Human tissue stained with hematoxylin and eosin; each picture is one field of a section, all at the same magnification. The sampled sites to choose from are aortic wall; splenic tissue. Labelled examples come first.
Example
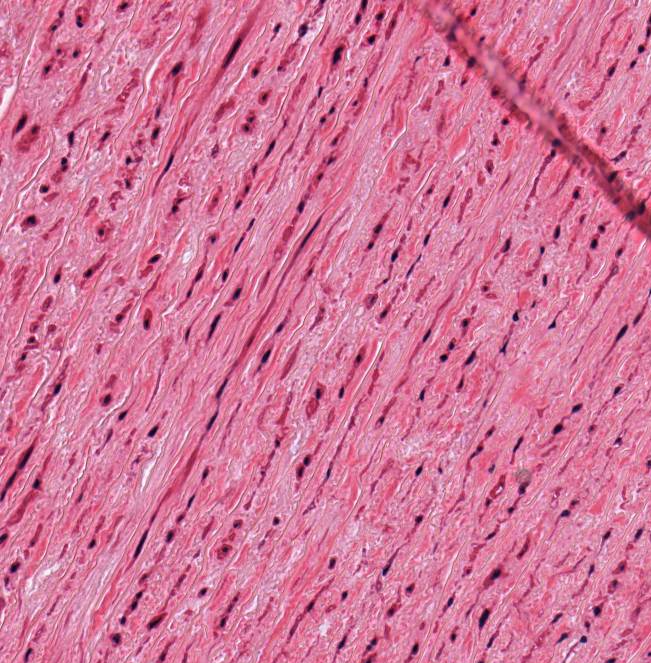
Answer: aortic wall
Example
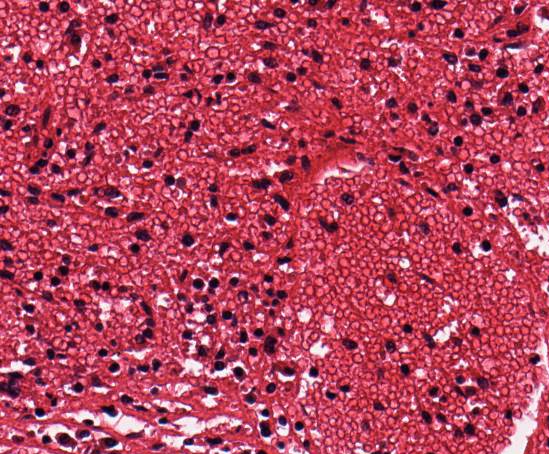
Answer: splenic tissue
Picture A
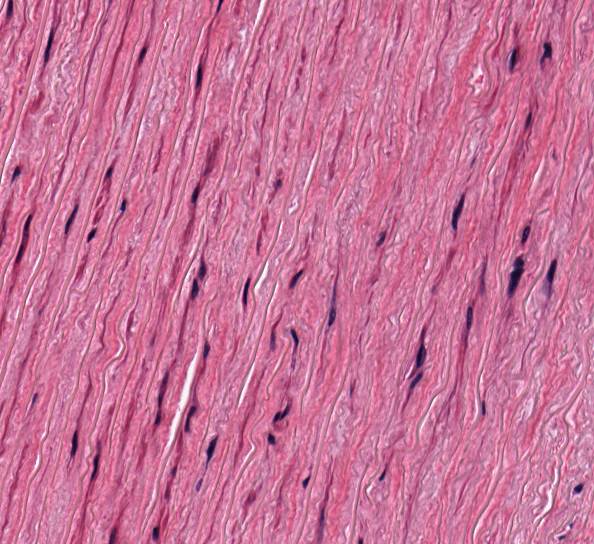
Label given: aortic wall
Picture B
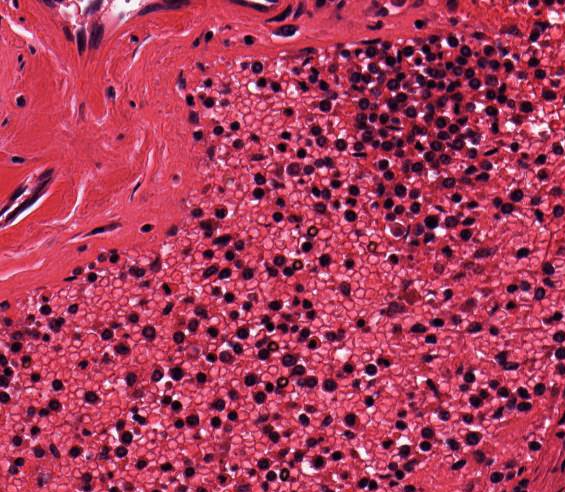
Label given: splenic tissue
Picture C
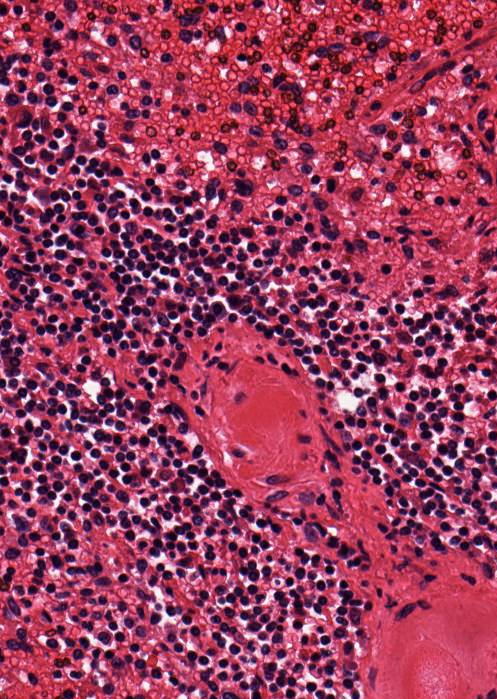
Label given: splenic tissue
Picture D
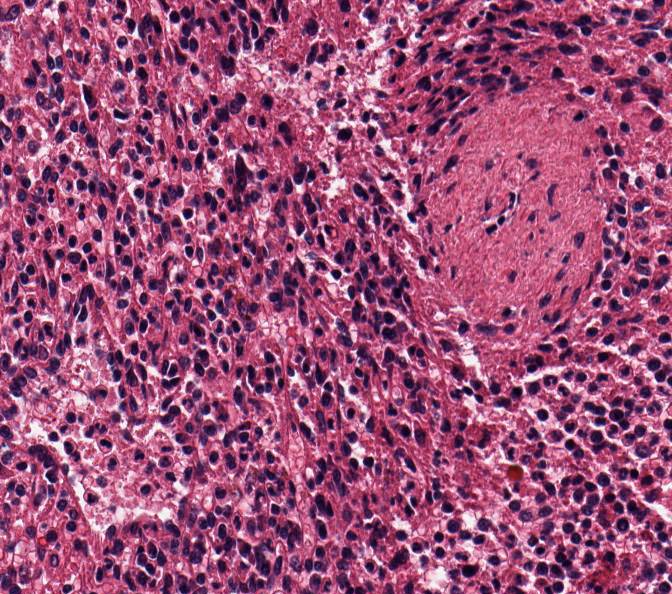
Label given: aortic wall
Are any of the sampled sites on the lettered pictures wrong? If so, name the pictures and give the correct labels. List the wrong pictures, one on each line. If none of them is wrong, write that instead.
D should be splenic tissue, not aortic wall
